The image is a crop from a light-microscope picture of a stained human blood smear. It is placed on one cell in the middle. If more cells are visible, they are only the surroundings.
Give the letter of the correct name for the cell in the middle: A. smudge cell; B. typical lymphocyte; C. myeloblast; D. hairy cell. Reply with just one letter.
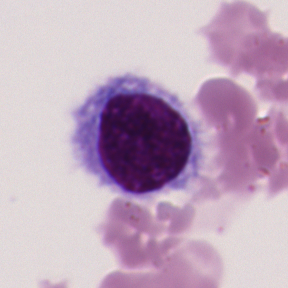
D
